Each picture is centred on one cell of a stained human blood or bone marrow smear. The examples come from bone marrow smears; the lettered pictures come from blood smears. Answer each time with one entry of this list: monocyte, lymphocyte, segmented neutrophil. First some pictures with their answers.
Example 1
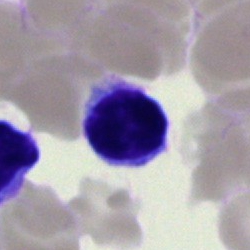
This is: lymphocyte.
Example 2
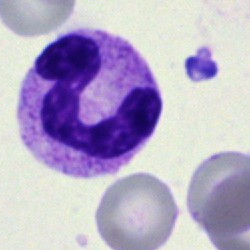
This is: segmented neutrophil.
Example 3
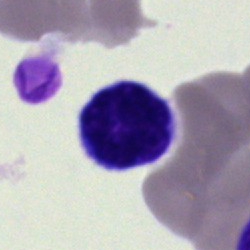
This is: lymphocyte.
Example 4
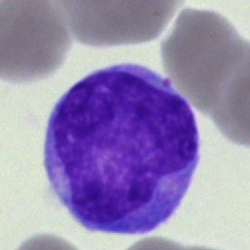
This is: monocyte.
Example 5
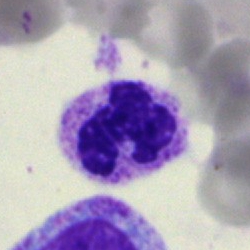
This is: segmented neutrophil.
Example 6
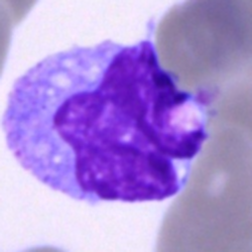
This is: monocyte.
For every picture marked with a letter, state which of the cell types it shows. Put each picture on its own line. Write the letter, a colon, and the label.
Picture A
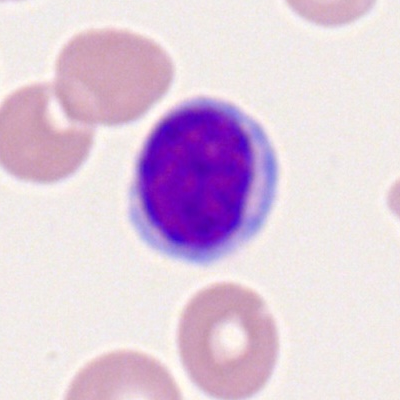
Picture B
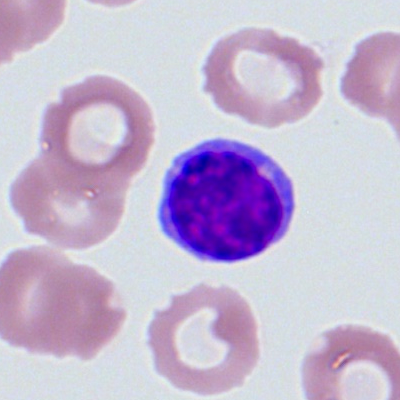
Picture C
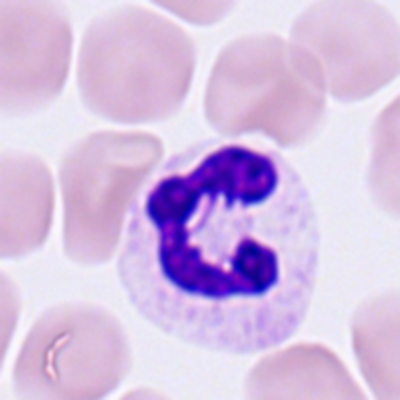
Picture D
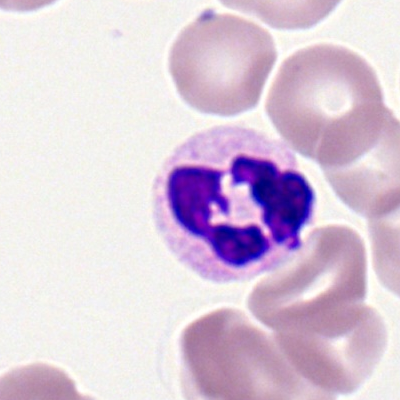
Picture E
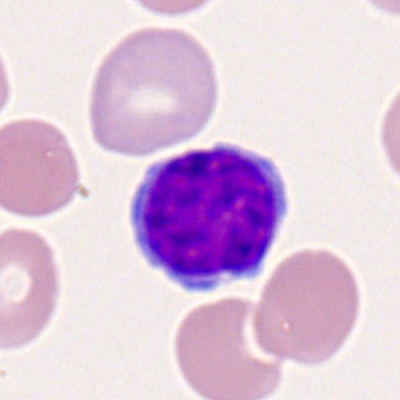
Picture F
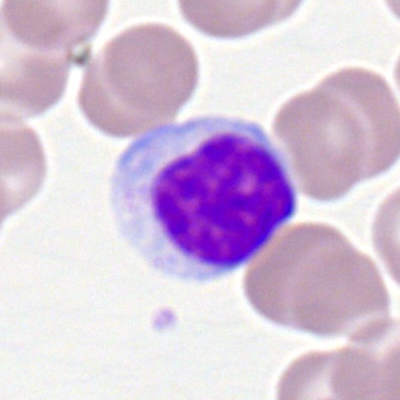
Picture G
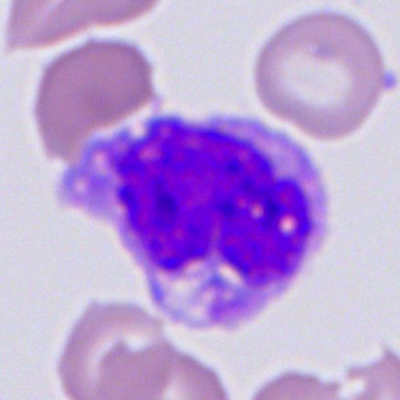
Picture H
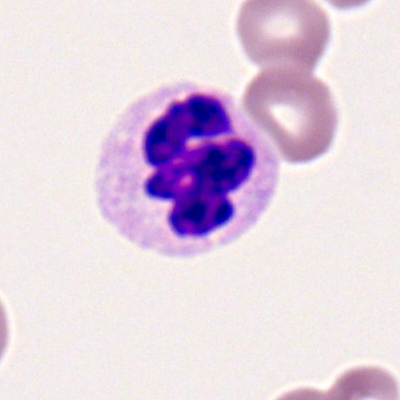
A: lymphocyte.
B: lymphocyte.
C: segmented neutrophil.
D: segmented neutrophil.
E: lymphocyte.
F: lymphocyte.
G: monocyte.
H: segmented neutrophil.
